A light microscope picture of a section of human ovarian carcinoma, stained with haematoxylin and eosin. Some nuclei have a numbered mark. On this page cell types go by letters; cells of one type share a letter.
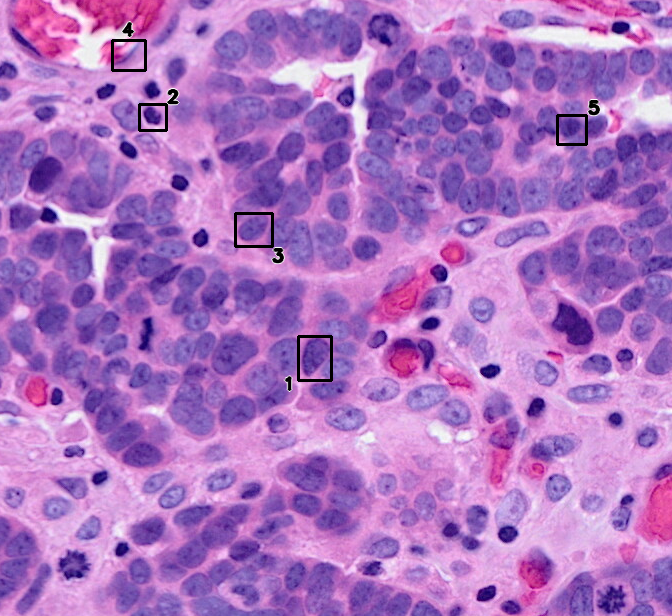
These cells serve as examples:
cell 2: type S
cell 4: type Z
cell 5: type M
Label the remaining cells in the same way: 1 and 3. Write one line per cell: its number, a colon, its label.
1: type M
3: type M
